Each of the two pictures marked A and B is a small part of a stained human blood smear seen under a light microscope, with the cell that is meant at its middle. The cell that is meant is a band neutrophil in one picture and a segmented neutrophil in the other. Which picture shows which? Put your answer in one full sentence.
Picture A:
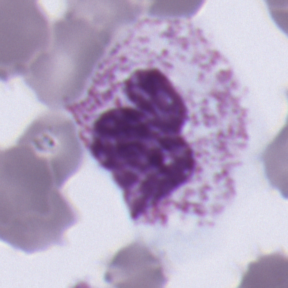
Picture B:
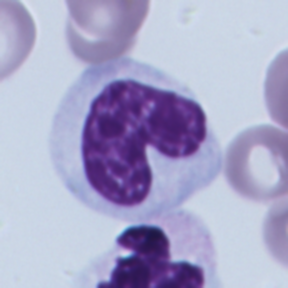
Picture A shows a segmented neutrophil and picture B shows a band neutrophil.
